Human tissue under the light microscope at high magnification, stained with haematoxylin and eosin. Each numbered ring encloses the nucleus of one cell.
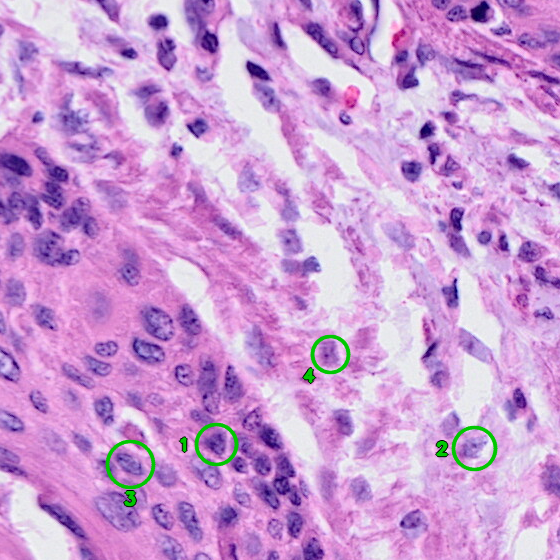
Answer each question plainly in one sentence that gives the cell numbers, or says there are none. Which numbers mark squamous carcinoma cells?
The cells marked with the numbers 1 and 3 are squamous carcinoma cells.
